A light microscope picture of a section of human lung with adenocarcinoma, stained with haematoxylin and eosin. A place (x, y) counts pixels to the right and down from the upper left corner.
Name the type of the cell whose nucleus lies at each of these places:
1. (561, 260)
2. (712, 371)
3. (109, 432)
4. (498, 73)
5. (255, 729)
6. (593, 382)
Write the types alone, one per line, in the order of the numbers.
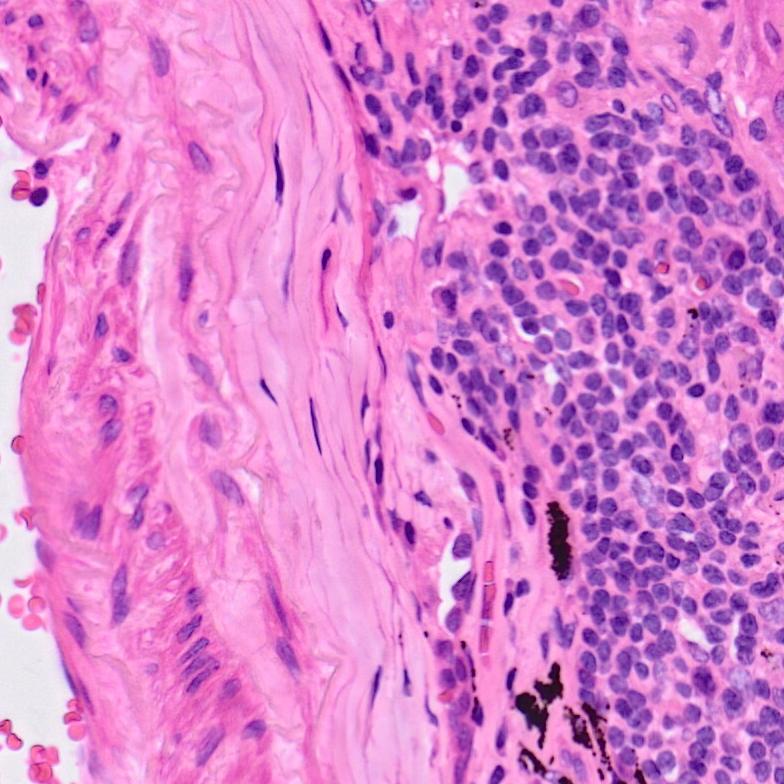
lymphocyte
lymphocyte
smooth muscle cell or pericyte
lymphocyte
smooth muscle cell or pericyte
lymphocyte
